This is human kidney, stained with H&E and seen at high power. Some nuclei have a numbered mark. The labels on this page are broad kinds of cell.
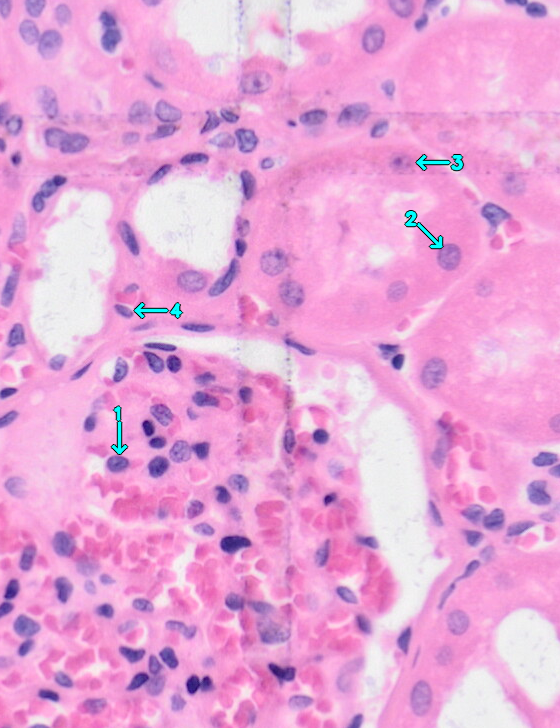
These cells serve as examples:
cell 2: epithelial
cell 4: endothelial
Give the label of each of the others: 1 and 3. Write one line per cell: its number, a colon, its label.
1: endothelial
3: epithelial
